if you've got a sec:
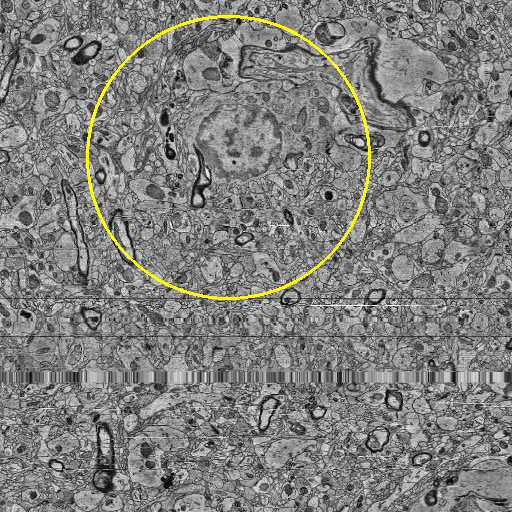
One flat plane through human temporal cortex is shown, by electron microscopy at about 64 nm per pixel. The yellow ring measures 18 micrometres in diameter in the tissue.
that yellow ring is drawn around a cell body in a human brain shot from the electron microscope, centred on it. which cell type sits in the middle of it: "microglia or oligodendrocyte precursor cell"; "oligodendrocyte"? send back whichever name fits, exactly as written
oligodendrocyte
